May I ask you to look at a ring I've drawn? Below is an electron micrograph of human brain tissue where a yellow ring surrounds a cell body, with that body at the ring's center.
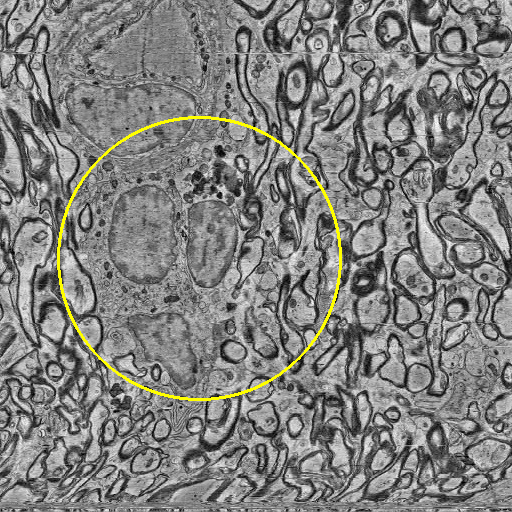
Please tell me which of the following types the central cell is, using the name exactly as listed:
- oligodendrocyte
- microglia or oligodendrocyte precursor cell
microglia or oligodendrocyte precursor cell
